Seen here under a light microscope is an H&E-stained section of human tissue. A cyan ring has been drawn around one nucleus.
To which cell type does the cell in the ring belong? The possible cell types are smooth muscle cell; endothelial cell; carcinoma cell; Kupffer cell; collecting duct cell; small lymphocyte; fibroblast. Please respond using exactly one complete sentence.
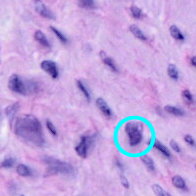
Within the stained tissue, the cell in the ring is a fibroblast.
